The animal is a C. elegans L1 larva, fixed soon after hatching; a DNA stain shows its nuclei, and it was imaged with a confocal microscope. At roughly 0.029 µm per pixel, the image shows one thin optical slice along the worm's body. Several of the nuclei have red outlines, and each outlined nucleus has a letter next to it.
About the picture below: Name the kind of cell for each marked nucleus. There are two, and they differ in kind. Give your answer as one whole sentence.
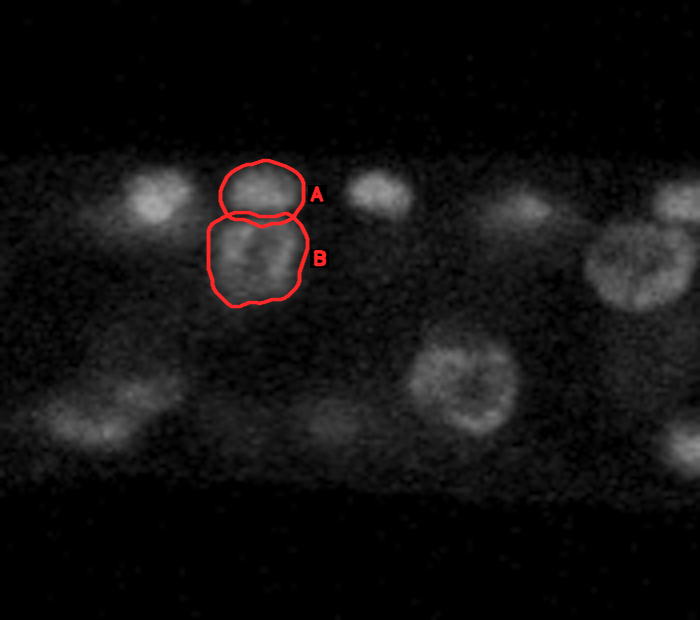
The nucleus A is that of a neuron, while B is that of an intestinal cell.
